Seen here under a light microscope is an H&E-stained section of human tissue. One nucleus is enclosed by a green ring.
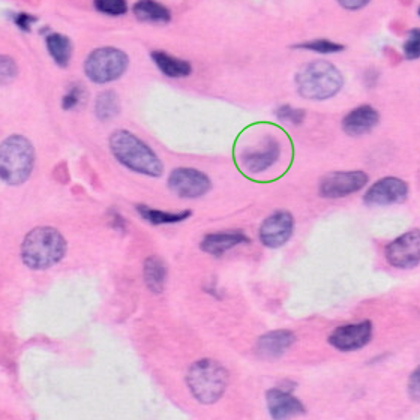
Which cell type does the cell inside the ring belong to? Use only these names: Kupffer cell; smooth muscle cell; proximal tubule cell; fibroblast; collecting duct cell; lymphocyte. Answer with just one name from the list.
collecting duct cell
